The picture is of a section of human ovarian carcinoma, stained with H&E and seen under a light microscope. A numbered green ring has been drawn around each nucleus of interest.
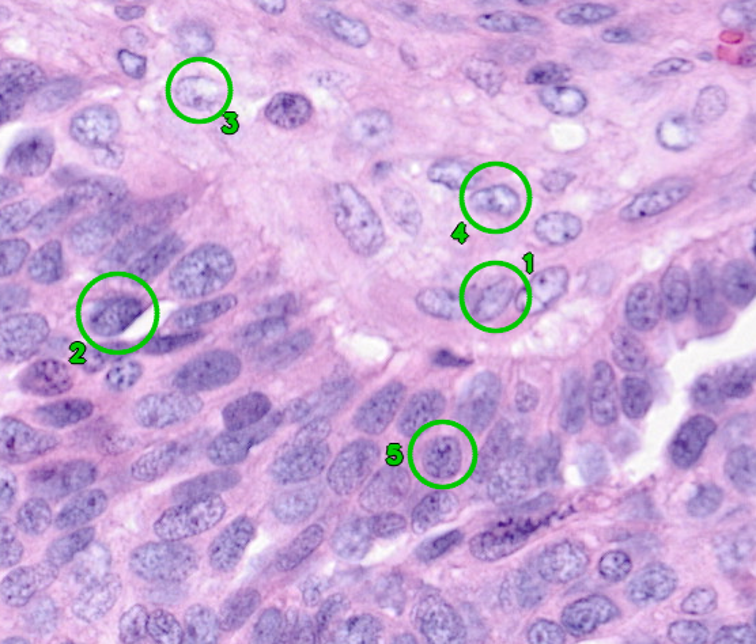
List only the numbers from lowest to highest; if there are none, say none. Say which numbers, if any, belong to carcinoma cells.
2, 5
